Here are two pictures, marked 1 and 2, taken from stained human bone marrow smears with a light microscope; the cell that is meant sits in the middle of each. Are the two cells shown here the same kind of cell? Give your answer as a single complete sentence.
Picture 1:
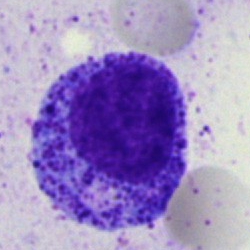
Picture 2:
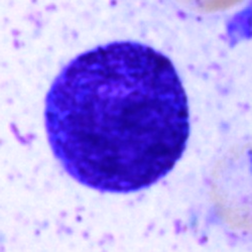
Yes, both are promyelocytes.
